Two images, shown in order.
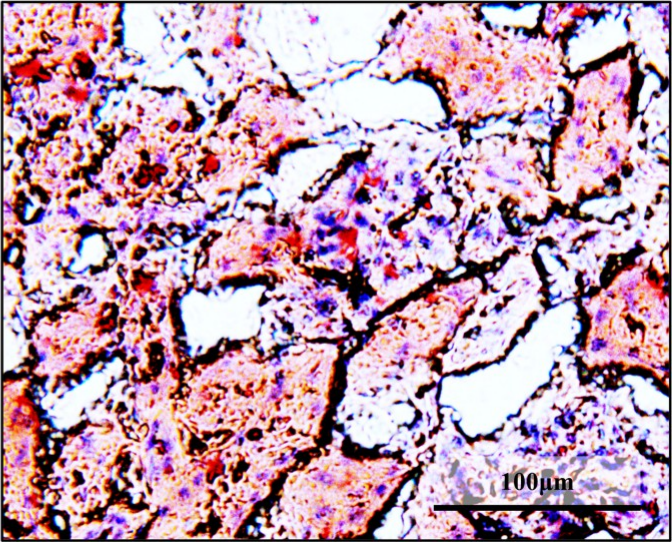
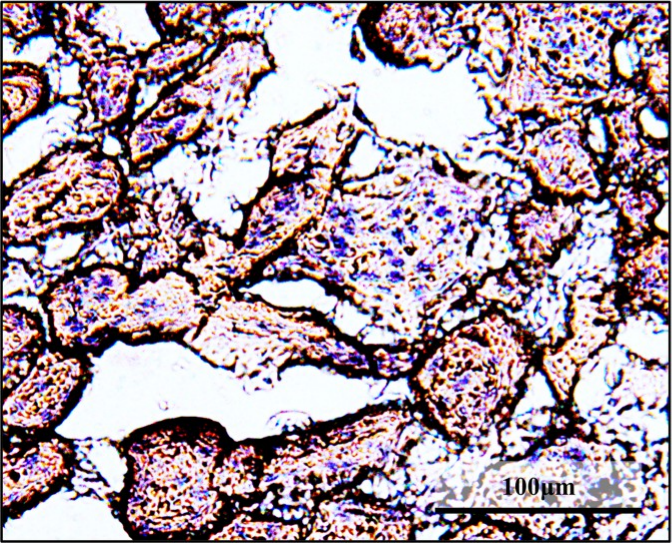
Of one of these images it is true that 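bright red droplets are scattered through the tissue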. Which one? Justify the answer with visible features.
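Second image: tissue profiles are brownish with blue-purple nuclei and no bright red droplets. First image: many bright red droplets and patches lie within the tissue profiles.
Answer: the first image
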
